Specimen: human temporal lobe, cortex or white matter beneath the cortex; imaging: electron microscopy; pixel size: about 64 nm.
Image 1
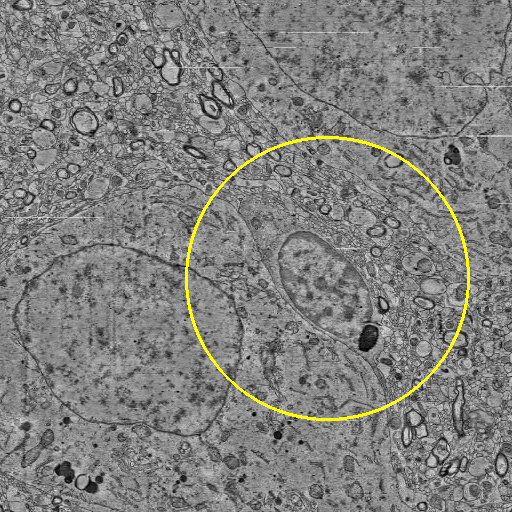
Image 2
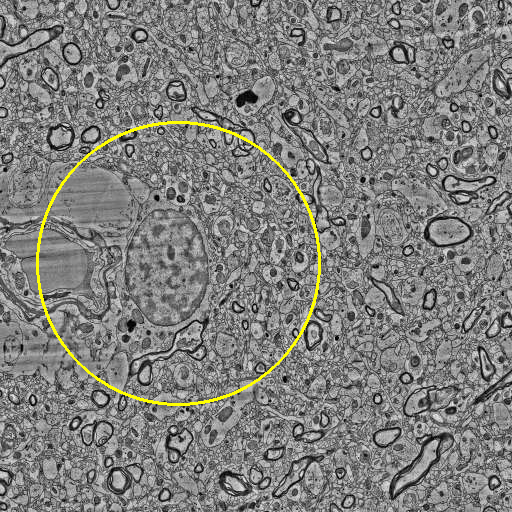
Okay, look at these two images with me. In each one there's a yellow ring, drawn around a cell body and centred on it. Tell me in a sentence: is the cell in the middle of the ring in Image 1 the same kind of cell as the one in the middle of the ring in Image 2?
No, they're two kinds of cell.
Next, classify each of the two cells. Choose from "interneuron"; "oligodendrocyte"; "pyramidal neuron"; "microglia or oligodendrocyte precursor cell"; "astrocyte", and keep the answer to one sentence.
In the first picture it is a microglial cell or oligodendrocyte precursor cell; in the second it is an oligodendrocyte.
